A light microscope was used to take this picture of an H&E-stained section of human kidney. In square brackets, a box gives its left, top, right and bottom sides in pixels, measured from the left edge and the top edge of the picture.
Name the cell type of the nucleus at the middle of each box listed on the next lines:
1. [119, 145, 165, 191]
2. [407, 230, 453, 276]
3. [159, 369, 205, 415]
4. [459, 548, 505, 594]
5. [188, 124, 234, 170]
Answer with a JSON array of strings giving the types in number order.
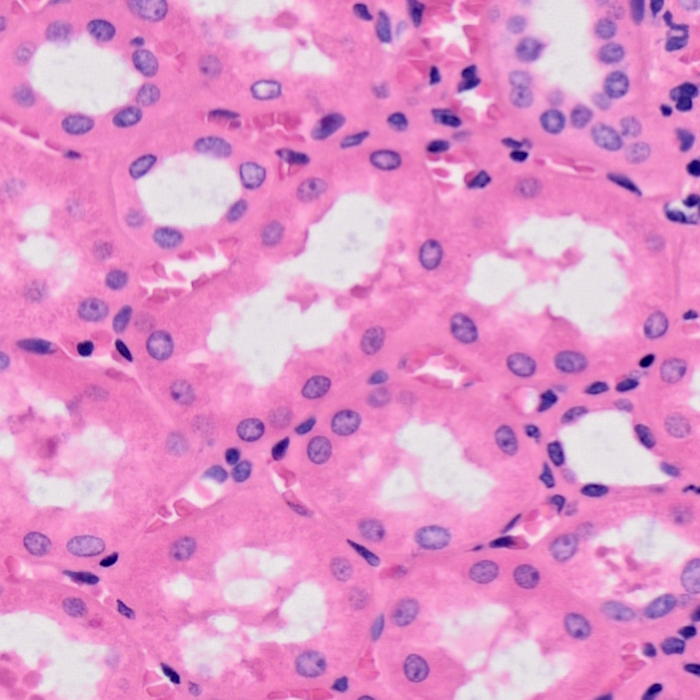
["loop of Henle or distal tubule cell", "proximal tubule cell", "proximal tubule cell", "proximal tubule cell", "loop of Henle or distal tubule cell"]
